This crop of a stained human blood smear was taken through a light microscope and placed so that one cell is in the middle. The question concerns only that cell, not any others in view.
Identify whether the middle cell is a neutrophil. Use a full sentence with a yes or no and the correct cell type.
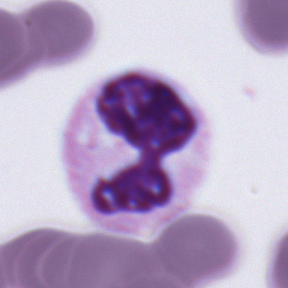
Yes, the cell shown at the crop's centre is a neutrophil.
